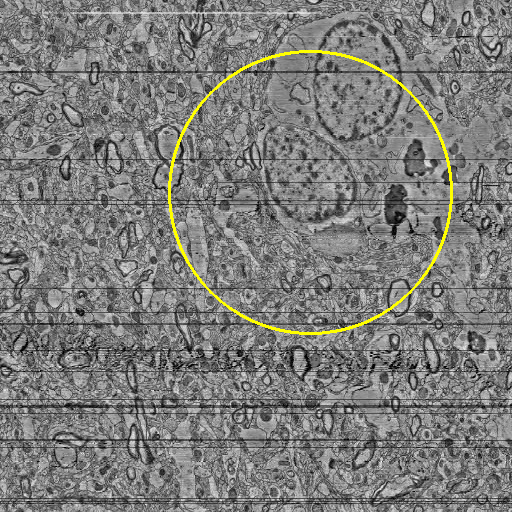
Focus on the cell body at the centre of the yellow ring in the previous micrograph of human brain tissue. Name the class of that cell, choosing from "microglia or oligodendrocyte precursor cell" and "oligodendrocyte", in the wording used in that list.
microglia or oligodendrocyte precursor cell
